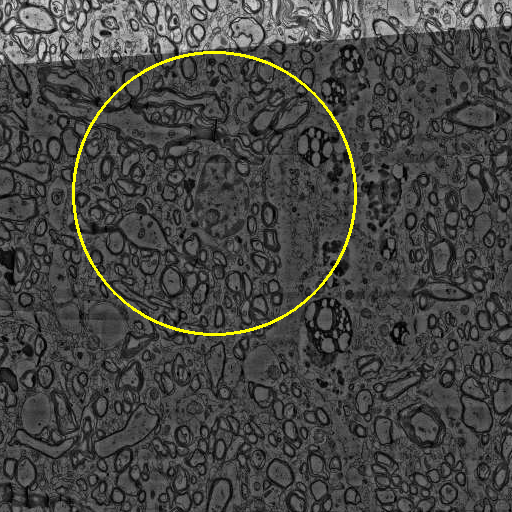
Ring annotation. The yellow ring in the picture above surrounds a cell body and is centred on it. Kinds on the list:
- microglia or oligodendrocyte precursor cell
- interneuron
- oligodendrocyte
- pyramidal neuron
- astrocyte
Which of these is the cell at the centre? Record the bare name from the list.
microglia or oligodendrocyte precursor cell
